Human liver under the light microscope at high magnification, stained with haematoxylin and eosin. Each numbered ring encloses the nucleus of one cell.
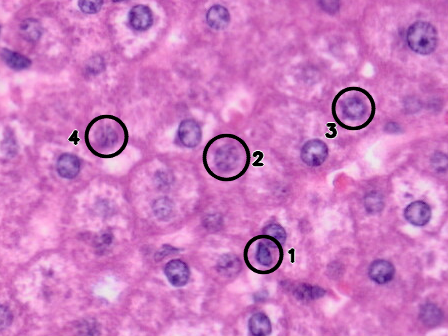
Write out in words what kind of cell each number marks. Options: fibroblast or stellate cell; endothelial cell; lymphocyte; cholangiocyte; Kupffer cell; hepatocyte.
Cell 1 is a fibroblast or stellate cell. Cells 2, 3 and 4 are hepatocytes.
